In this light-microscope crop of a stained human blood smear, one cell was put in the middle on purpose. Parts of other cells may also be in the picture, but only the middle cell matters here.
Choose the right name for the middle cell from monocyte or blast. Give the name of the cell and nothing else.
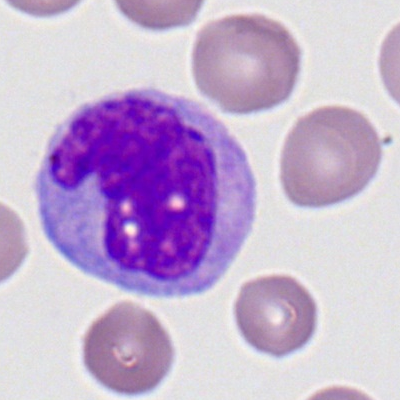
monocyte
